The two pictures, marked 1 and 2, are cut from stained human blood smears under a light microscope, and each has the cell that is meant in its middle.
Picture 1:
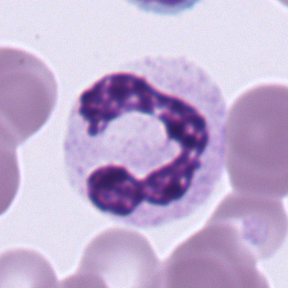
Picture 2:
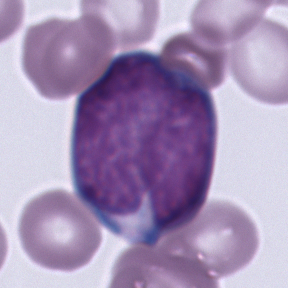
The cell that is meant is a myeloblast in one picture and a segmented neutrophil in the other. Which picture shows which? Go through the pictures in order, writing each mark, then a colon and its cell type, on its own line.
1: segmented neutrophil
2: myeloblast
